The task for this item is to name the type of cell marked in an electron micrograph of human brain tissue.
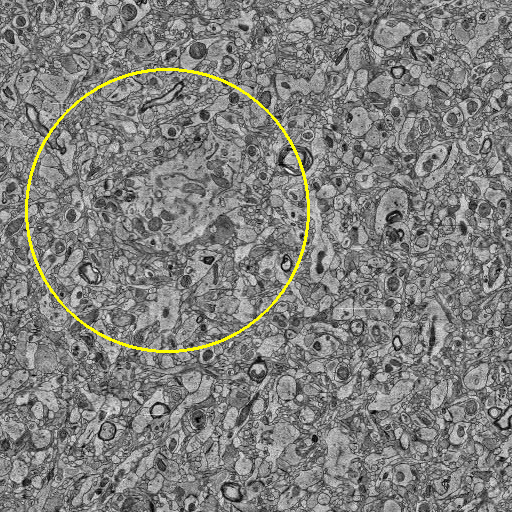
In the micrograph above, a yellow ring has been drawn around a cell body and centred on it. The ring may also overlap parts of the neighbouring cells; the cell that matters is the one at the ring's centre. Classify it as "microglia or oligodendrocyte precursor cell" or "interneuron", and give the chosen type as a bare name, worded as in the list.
microglia or oligodendrocyte precursor cell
